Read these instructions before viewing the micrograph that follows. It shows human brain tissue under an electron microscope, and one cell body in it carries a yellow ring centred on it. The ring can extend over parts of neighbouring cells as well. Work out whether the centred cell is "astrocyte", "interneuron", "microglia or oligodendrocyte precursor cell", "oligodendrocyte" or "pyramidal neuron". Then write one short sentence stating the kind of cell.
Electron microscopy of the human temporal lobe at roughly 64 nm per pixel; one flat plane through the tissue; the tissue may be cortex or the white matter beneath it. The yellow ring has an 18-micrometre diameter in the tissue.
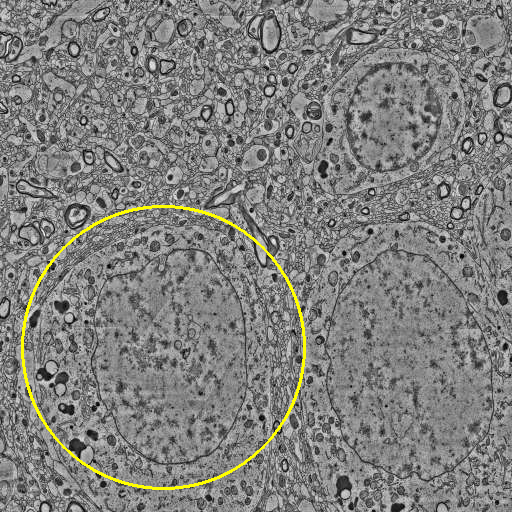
The ringed cell is a pyramidal neuron.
